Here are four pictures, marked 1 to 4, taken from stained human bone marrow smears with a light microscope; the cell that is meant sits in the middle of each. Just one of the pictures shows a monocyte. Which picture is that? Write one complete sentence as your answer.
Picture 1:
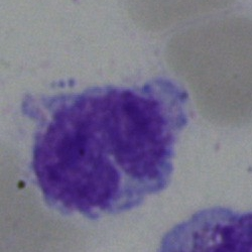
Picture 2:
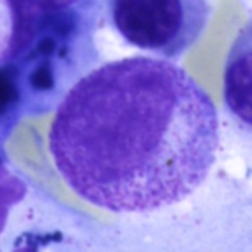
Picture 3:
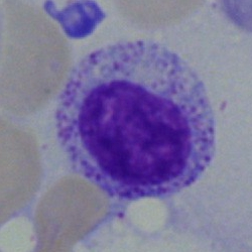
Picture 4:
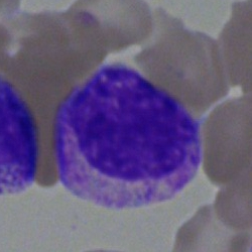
Picture 1 is the one that shows the monocyte.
